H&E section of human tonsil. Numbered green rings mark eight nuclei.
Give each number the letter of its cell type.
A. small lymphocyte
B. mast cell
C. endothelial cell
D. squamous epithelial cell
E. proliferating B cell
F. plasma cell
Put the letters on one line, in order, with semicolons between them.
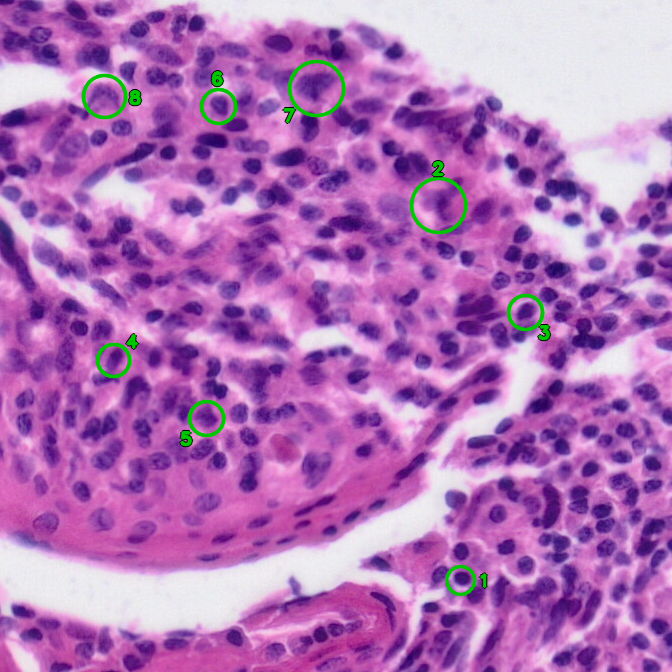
F; D; F; D; D; F; D; D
